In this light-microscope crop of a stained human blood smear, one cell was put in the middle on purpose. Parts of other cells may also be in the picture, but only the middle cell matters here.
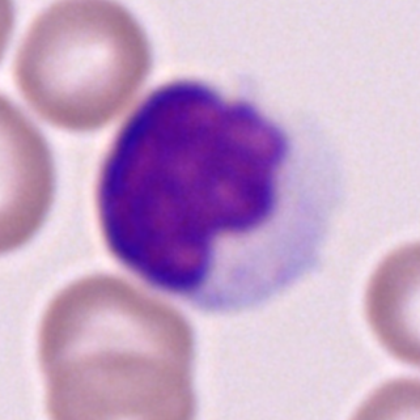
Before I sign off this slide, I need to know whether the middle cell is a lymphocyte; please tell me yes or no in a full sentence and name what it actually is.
Yes, centred in the crop is a lymphocyte.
